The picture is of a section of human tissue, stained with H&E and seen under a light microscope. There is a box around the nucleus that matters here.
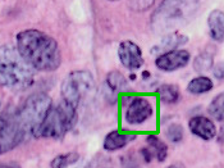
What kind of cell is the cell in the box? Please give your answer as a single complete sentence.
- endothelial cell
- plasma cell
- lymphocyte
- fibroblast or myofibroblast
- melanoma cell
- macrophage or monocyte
In the tissue under study, the cell in the box is a lymphocyte.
